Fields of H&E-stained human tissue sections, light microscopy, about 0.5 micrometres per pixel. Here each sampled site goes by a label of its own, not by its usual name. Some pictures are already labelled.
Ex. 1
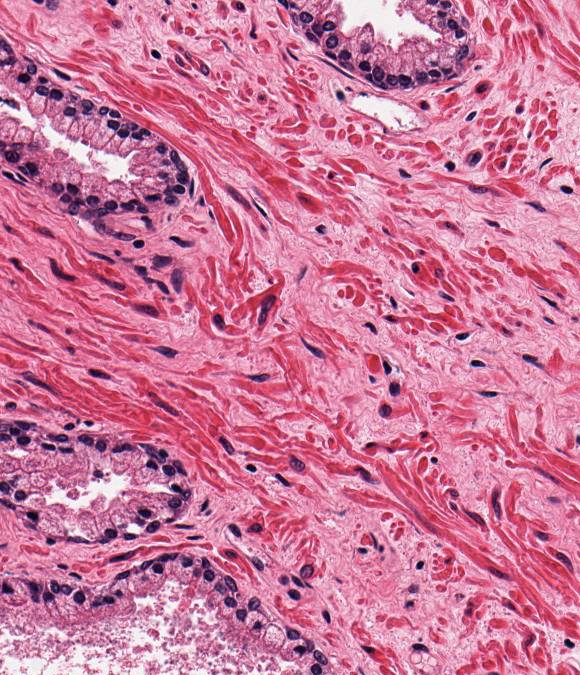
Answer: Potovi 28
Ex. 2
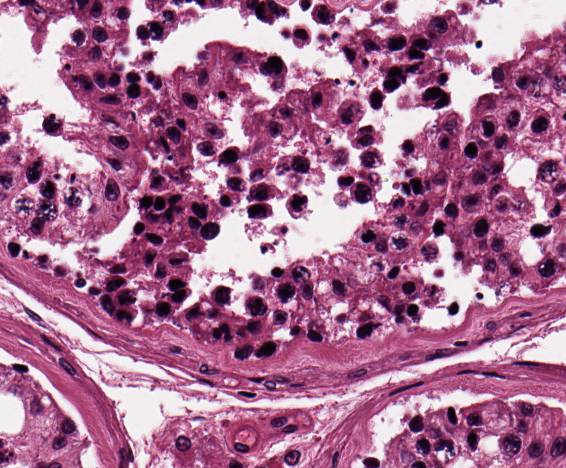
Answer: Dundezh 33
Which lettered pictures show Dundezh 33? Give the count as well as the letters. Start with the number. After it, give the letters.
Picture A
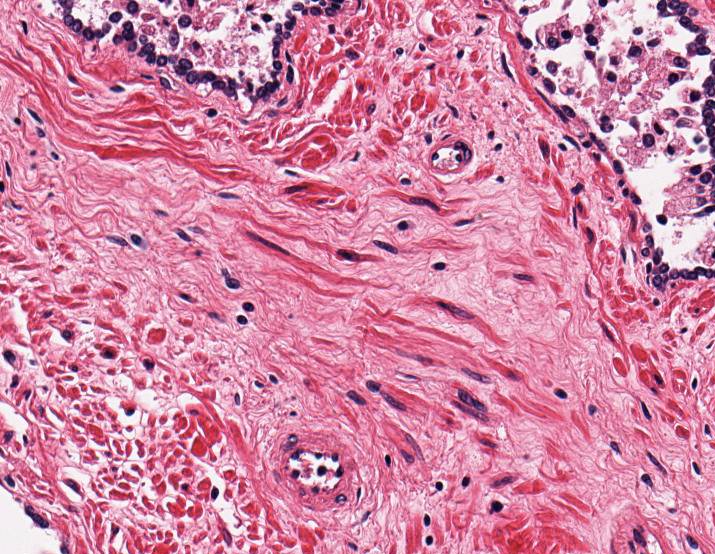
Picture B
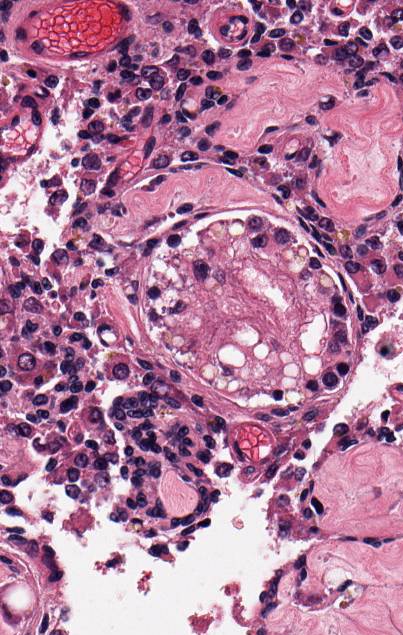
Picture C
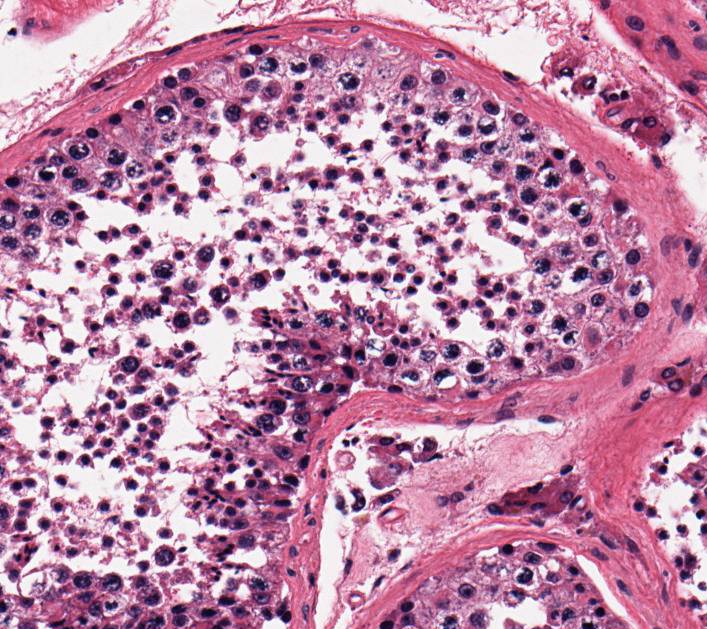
2: B, C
